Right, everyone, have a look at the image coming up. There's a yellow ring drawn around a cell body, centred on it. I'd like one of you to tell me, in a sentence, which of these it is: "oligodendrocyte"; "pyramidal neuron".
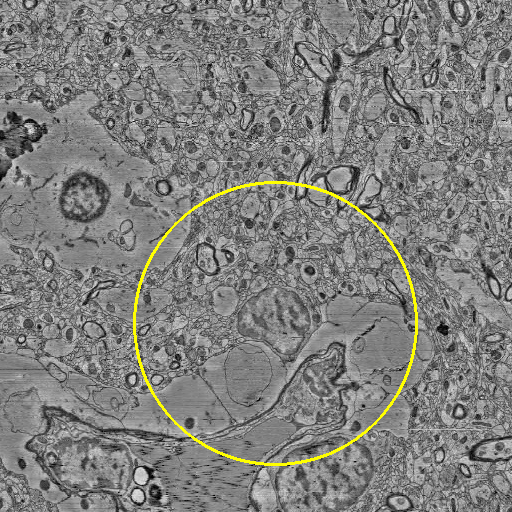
The yellow ring sits on an oligodendrocyte.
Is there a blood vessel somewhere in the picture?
Yes.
